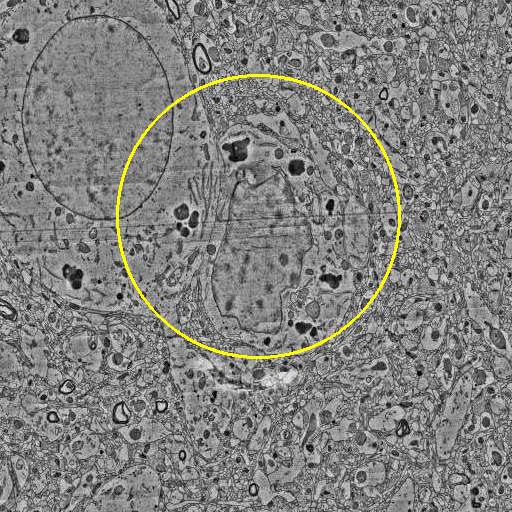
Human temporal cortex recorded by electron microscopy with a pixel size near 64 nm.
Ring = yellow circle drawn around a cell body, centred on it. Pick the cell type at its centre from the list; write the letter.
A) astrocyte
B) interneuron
B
